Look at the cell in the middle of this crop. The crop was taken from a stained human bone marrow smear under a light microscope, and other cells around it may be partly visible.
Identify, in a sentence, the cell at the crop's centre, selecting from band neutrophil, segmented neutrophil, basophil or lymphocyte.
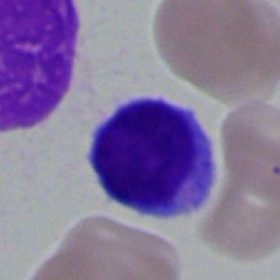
The cell in the exact centre of the crop is a lymphocyte.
